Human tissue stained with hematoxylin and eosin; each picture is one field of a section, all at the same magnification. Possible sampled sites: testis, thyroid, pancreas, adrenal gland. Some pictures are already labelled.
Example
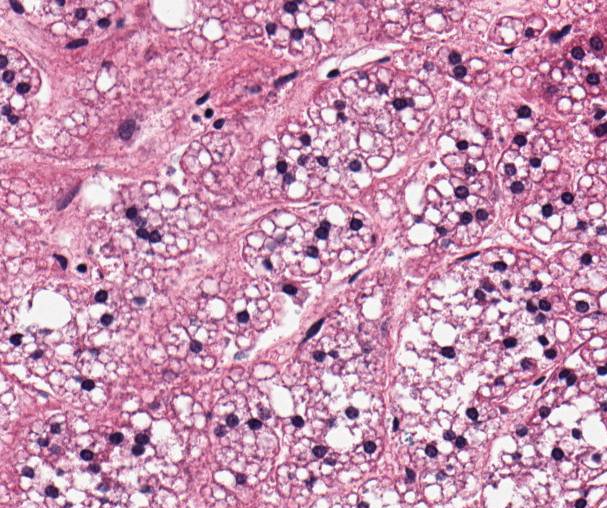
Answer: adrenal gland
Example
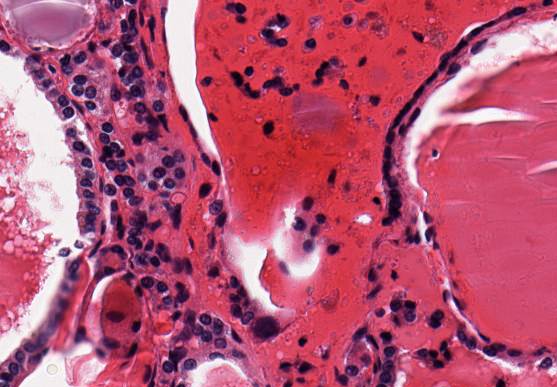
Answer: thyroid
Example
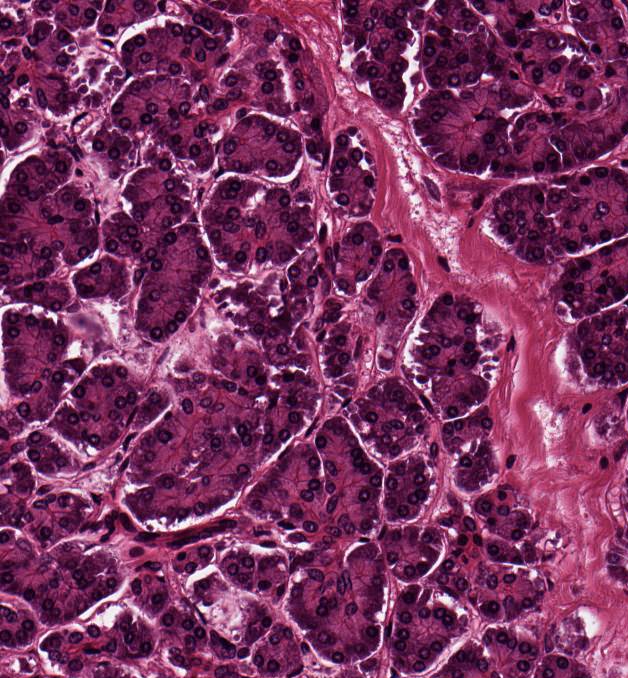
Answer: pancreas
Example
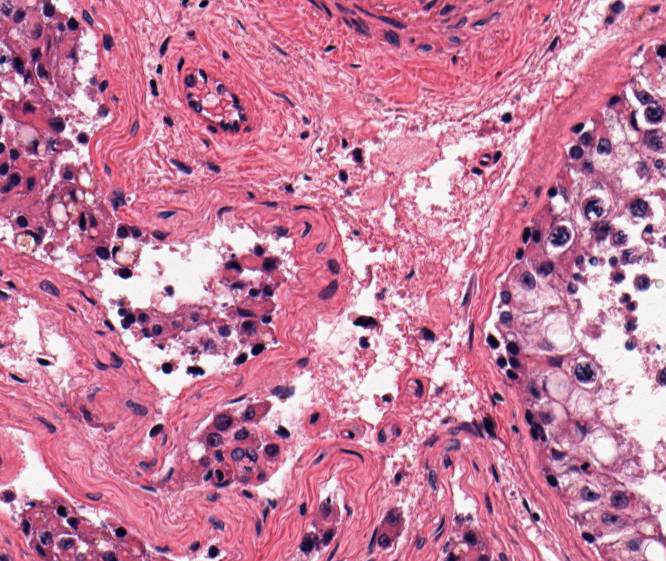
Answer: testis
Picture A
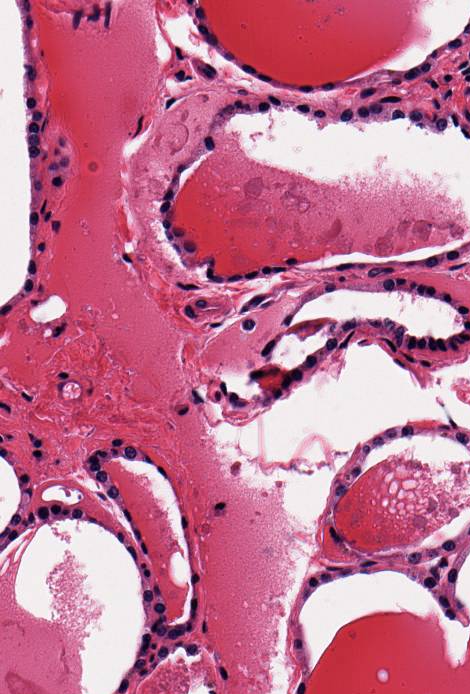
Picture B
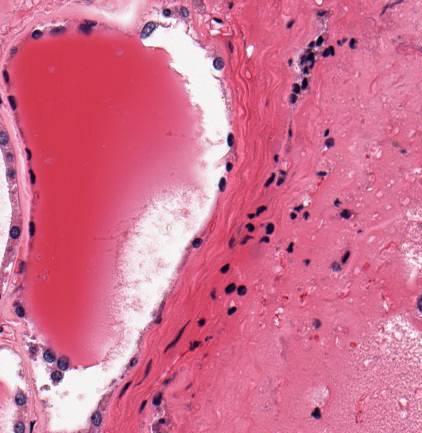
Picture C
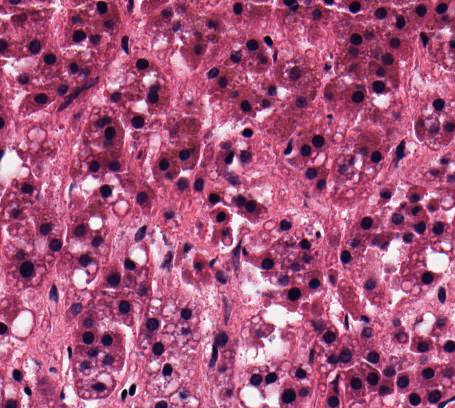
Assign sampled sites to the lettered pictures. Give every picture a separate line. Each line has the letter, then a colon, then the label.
A: thyroid
B: thyroid
C: adrenal gland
